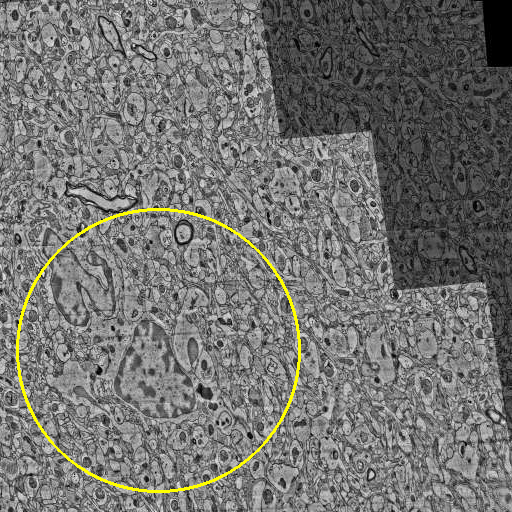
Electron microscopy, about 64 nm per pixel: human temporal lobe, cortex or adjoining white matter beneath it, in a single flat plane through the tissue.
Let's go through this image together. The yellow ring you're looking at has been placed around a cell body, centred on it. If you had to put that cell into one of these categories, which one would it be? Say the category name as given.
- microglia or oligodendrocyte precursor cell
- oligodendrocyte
microglia or oligodendrocyte precursor cell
